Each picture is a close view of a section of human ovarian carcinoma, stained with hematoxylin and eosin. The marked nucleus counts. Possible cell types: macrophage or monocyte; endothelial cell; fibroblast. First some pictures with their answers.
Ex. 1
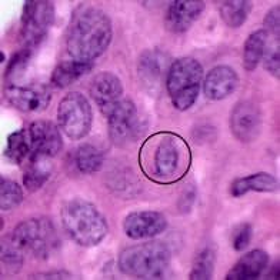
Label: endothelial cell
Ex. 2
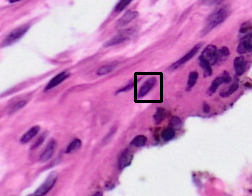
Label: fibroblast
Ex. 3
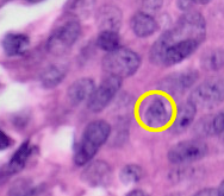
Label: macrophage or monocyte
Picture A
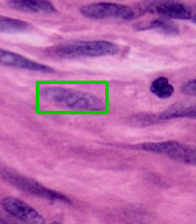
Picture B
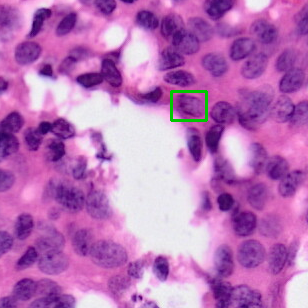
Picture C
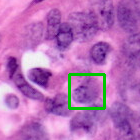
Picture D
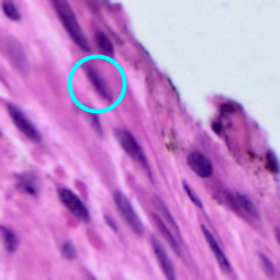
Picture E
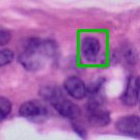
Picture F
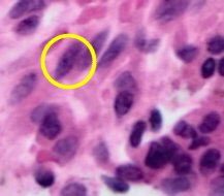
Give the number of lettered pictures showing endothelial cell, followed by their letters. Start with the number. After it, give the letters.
Count: 1 (B)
